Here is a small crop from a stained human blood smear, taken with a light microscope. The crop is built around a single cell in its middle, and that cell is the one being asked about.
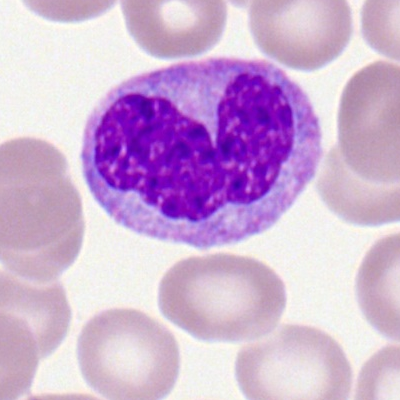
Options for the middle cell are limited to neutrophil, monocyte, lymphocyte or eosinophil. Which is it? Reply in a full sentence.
The cell in the exact centre of the crop is a monocyte.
